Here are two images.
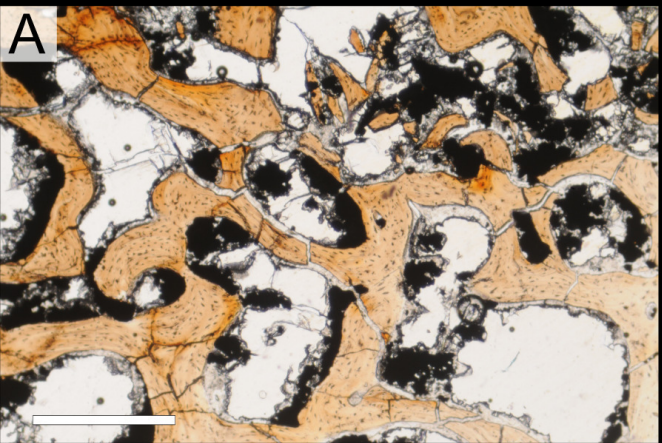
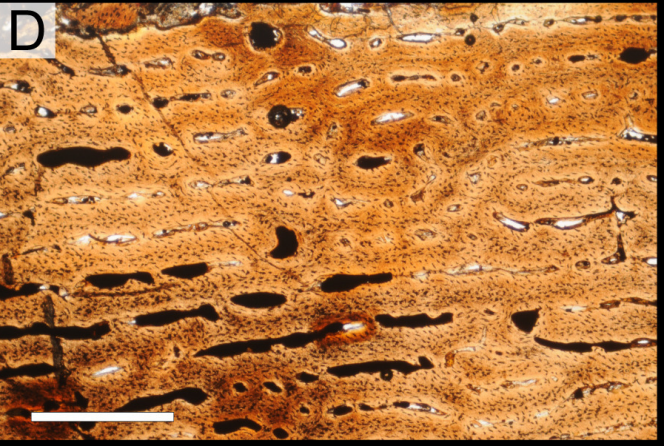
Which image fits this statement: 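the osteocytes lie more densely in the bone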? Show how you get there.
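The second image. Second image: tiny dark specks are closely packed throughout the bone. First image: the pale orange struts hold fewer, more widely spaced specks.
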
